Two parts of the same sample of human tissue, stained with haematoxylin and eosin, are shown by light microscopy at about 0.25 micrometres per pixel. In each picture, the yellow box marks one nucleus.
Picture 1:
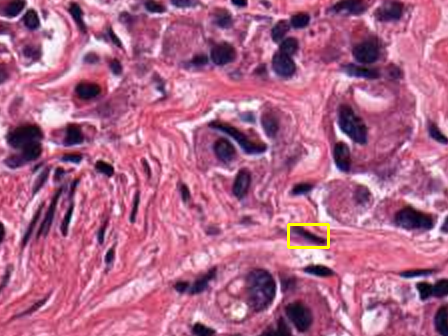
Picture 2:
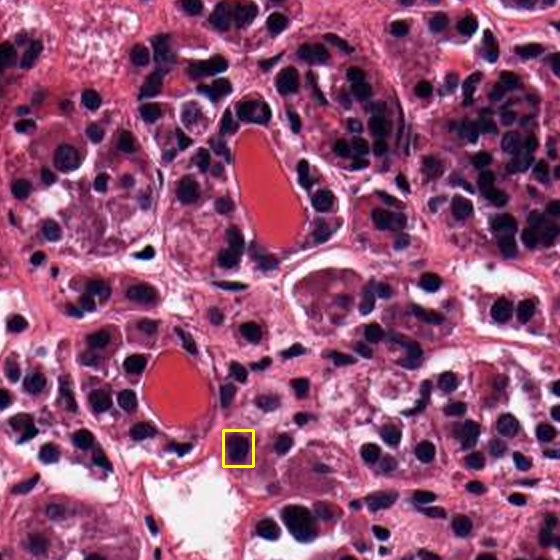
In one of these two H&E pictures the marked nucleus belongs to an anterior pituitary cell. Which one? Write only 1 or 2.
2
